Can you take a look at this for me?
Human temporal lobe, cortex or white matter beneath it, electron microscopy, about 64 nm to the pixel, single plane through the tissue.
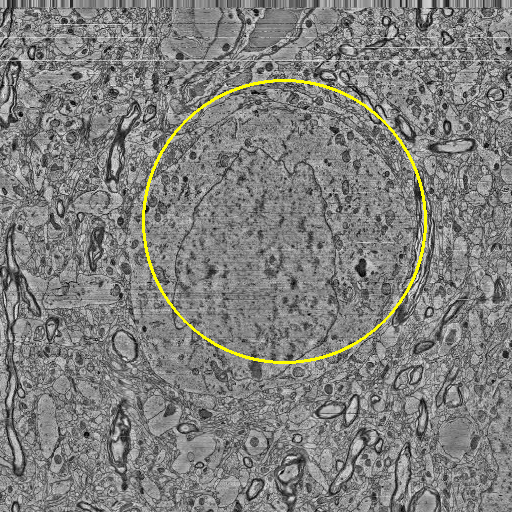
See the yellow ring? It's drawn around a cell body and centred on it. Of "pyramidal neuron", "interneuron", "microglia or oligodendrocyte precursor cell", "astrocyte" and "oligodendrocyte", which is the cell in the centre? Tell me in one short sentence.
The one in the centre is a pyramidal neuron.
